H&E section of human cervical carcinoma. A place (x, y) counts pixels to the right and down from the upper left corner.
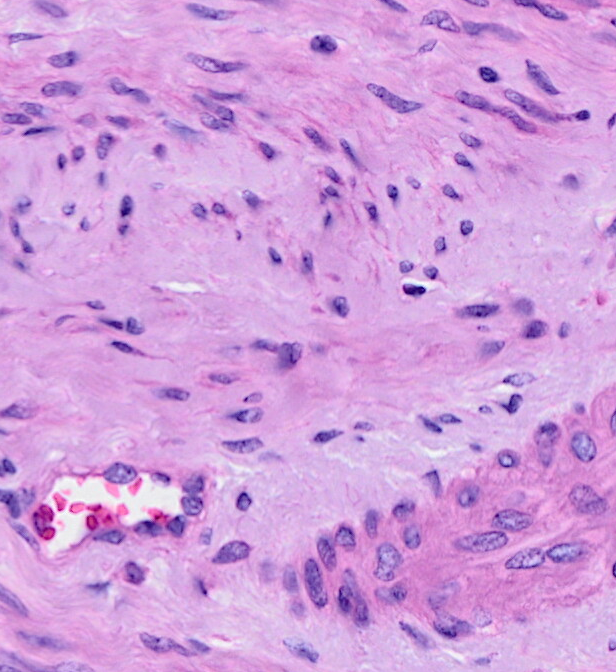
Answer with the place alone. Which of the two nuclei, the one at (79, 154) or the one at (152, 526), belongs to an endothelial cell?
(152, 526)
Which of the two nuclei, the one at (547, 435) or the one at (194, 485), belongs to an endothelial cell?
(194, 485)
